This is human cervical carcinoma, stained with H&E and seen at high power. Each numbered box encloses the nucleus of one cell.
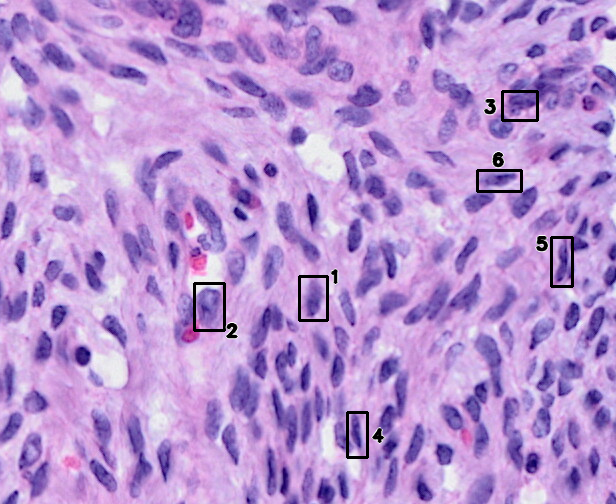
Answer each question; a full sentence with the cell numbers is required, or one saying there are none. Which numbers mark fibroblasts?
The numbers 1, 4, 5 and 6 refer to cells that are fibroblasts.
